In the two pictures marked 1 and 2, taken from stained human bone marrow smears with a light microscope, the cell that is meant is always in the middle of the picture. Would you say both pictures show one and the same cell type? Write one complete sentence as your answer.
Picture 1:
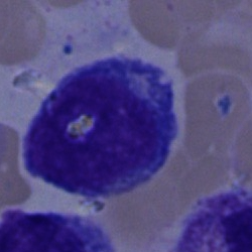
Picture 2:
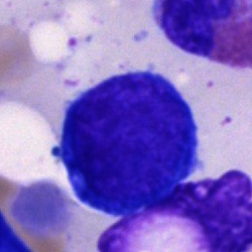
Yes, the two pictures both show proerythroblasts.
